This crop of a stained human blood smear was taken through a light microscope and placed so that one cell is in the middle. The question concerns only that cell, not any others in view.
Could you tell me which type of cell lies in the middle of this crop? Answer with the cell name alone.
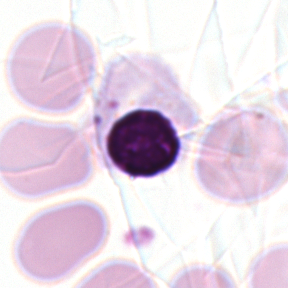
normoblast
